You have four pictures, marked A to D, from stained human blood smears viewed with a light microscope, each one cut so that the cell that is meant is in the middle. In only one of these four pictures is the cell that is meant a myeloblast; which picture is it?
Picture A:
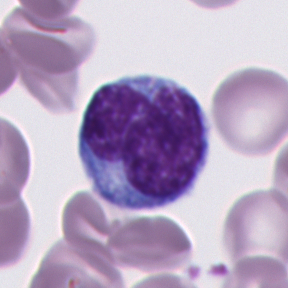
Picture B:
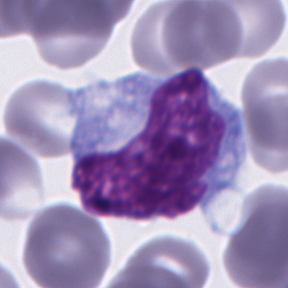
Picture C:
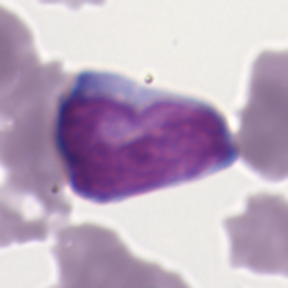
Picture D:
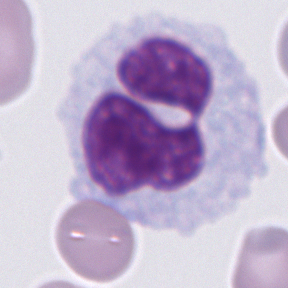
C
